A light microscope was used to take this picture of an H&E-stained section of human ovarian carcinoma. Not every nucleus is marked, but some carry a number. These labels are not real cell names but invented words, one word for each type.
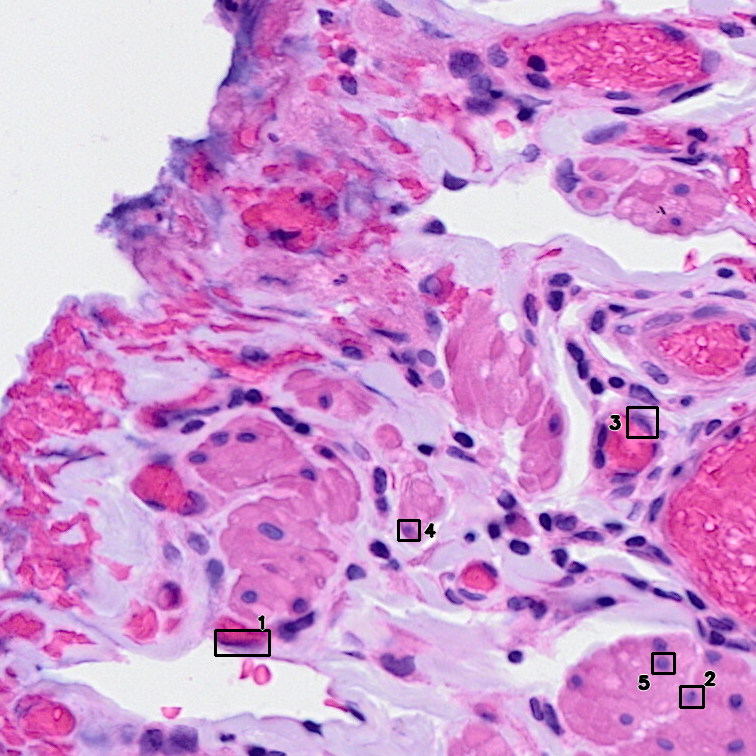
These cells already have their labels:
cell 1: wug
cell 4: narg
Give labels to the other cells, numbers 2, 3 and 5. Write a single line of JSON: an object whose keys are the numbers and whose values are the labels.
{"2": "narg", "3": "wug", "5": "narg"}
